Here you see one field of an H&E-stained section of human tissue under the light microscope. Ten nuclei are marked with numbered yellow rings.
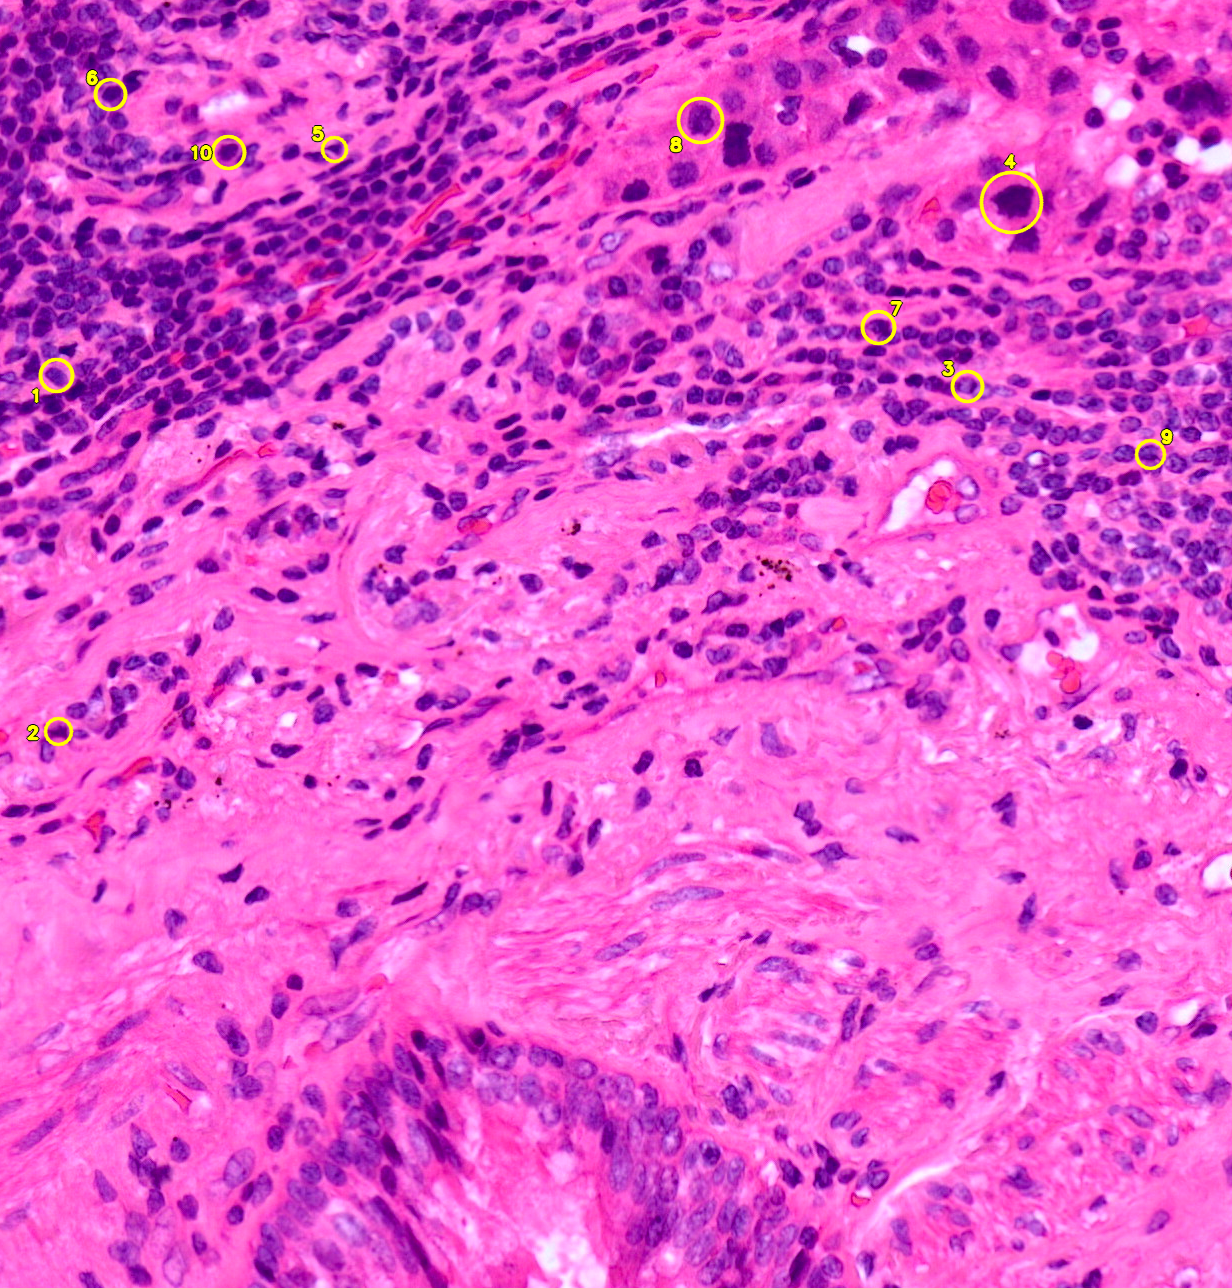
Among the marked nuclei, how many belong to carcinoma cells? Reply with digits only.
2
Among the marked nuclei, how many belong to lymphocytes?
6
